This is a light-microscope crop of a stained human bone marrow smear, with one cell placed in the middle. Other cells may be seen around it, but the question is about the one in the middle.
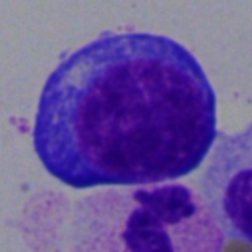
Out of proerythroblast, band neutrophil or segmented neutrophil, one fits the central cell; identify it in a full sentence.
The central element of this crop is a cell, namely a proerythroblast.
